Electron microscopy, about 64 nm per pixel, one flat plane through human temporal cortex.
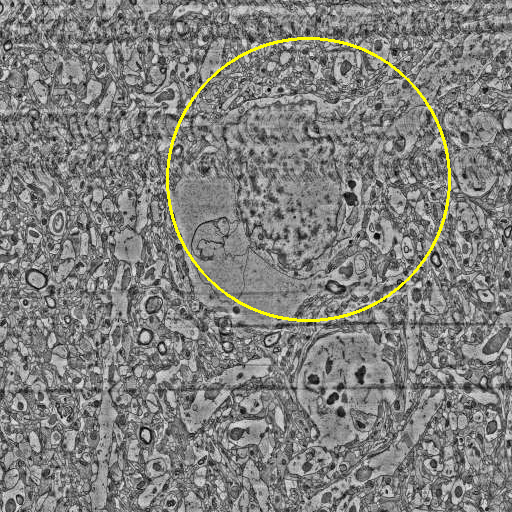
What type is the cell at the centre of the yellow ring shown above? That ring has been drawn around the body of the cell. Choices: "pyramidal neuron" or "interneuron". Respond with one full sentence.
My answer is that an interneuron lies at the centre of the yellow ring above.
